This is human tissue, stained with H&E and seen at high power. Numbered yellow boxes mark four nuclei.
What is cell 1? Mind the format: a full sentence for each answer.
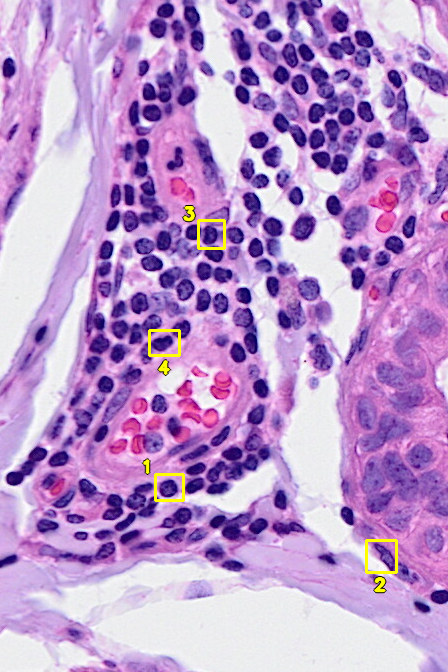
The cell numbered 1 has been identified as a lymphocyte.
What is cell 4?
The cell tagged with 4 in this tissue section is a lymphocyte.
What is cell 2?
Identified by the number 2, the cell is an endothelial cell.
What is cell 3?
Number 3 among the marked cells is a lymphocyte.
